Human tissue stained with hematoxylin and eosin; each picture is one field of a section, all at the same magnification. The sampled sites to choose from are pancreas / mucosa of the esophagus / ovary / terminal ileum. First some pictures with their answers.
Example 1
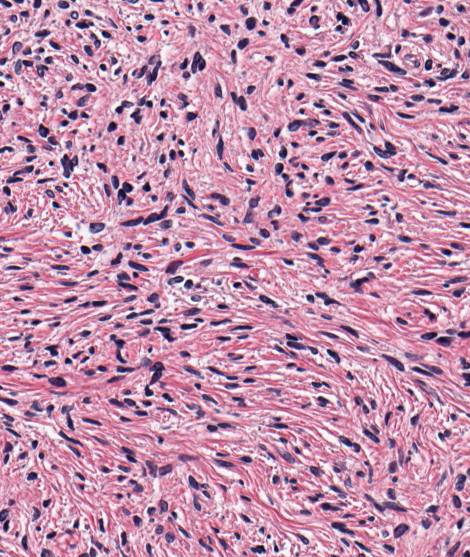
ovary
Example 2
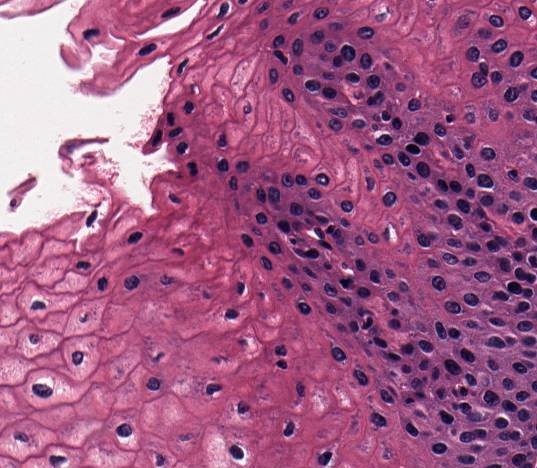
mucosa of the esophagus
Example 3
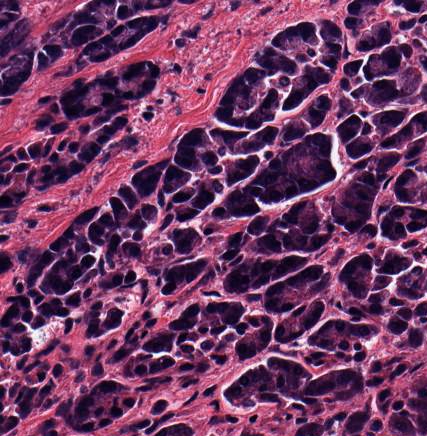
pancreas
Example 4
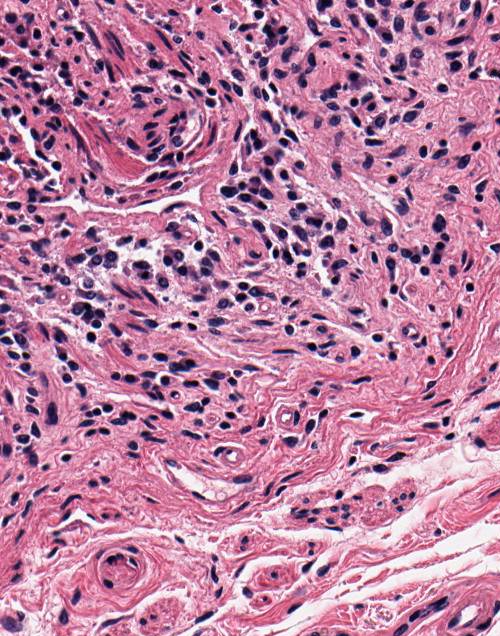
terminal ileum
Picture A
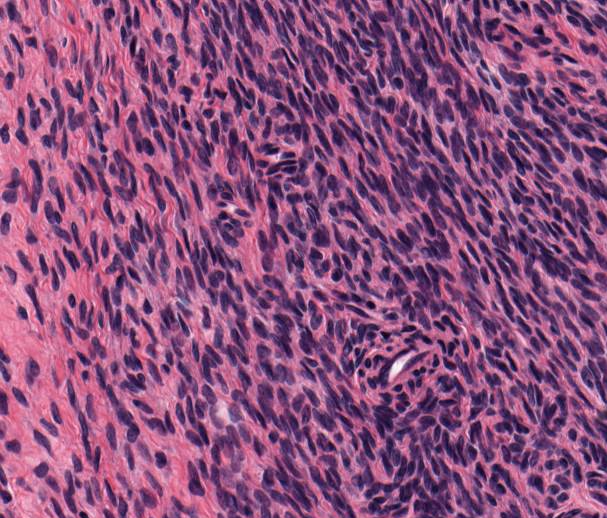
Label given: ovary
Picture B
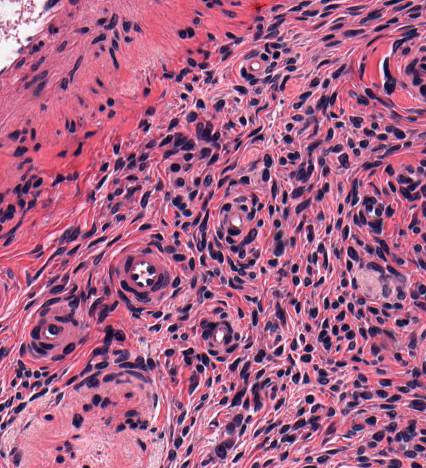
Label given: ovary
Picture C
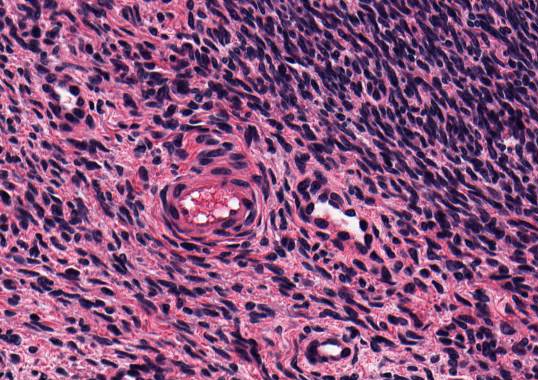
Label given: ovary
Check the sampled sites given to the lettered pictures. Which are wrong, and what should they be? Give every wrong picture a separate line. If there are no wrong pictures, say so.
No label is wrong.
